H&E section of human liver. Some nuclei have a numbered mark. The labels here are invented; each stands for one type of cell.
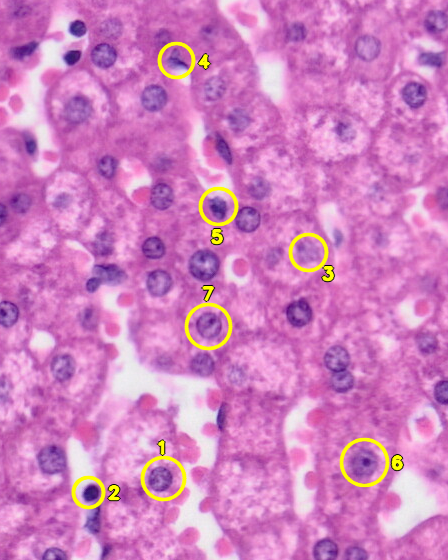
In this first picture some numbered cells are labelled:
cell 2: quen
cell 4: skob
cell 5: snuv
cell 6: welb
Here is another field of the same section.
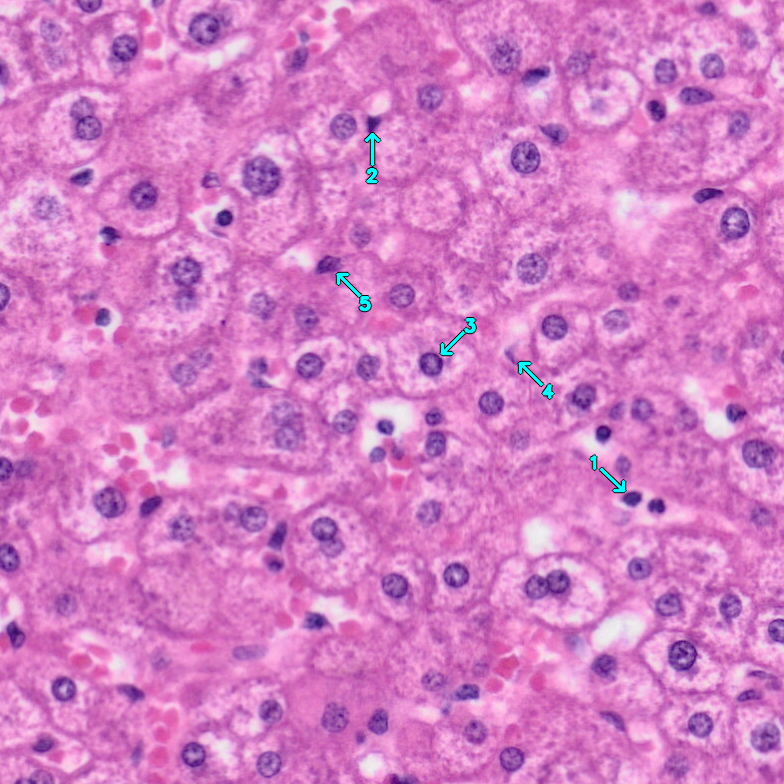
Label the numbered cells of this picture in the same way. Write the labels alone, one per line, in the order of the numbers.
quen
snuv
welb
skob
snuv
